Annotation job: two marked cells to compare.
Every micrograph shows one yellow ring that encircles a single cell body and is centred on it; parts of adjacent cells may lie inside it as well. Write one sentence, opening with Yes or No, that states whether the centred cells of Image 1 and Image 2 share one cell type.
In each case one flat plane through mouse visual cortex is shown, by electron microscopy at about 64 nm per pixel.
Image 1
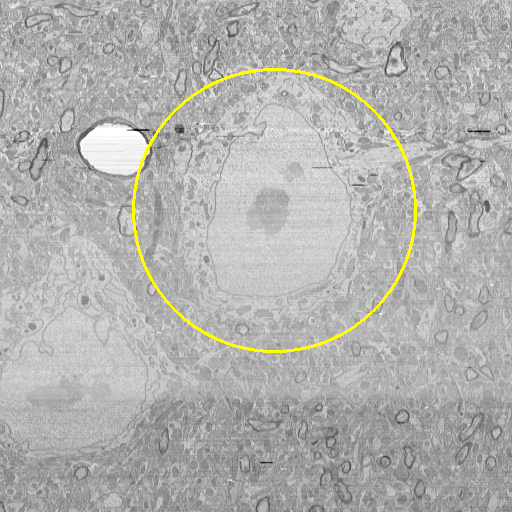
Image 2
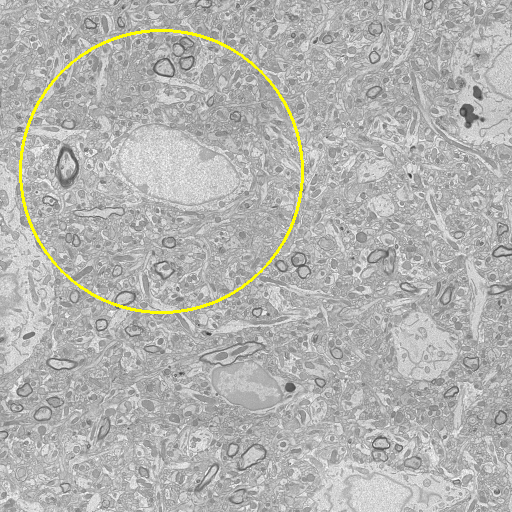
No, the cell centred in Image 1 and the cell centred in Image 2 are of two types.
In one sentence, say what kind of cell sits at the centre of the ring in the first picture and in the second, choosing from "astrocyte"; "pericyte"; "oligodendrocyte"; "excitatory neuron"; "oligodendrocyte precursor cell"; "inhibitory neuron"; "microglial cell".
The first picture's ringed cell is an excitatory neuron, while the second picture's is an astrocyte.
